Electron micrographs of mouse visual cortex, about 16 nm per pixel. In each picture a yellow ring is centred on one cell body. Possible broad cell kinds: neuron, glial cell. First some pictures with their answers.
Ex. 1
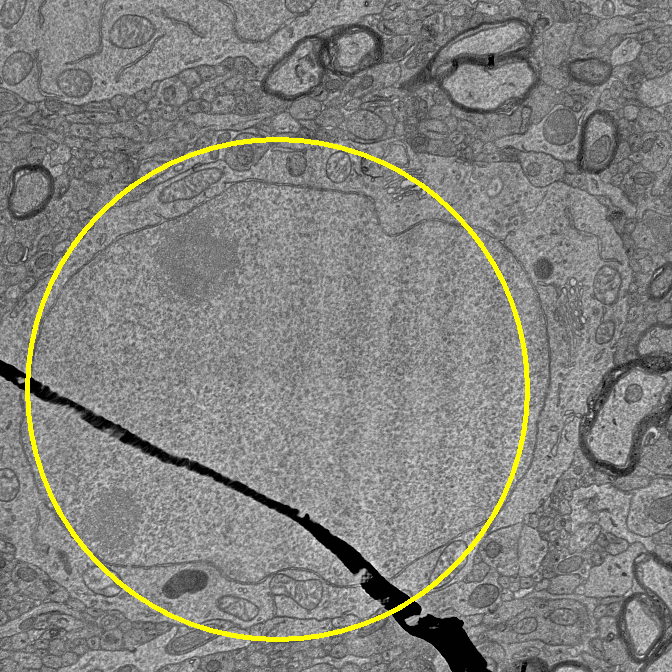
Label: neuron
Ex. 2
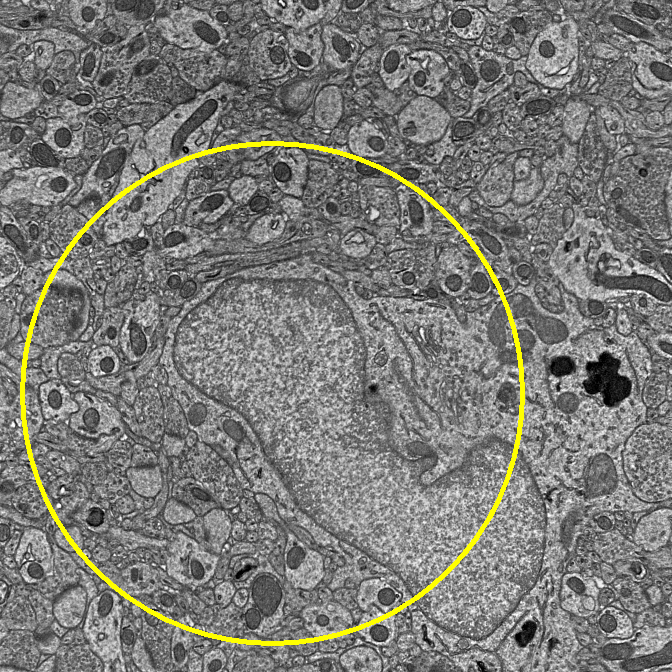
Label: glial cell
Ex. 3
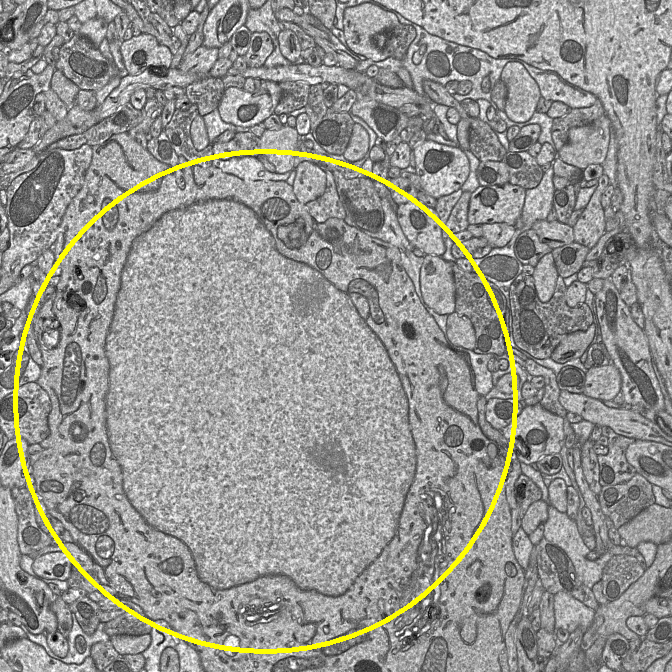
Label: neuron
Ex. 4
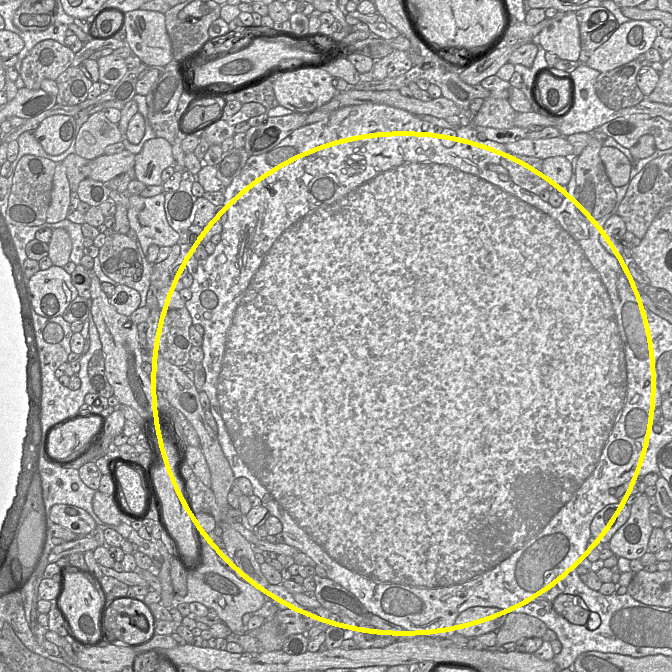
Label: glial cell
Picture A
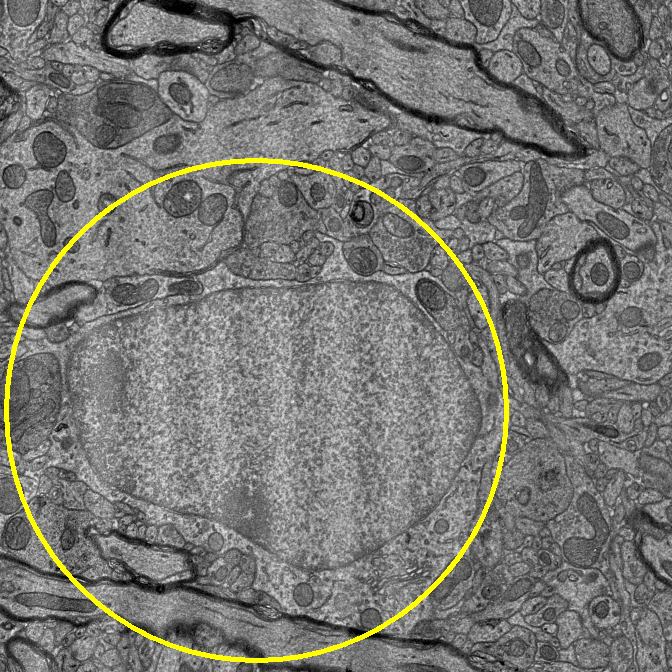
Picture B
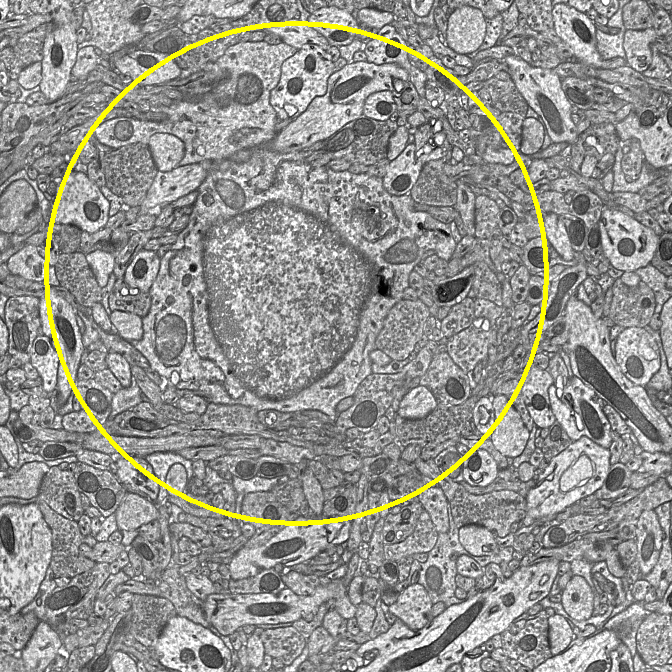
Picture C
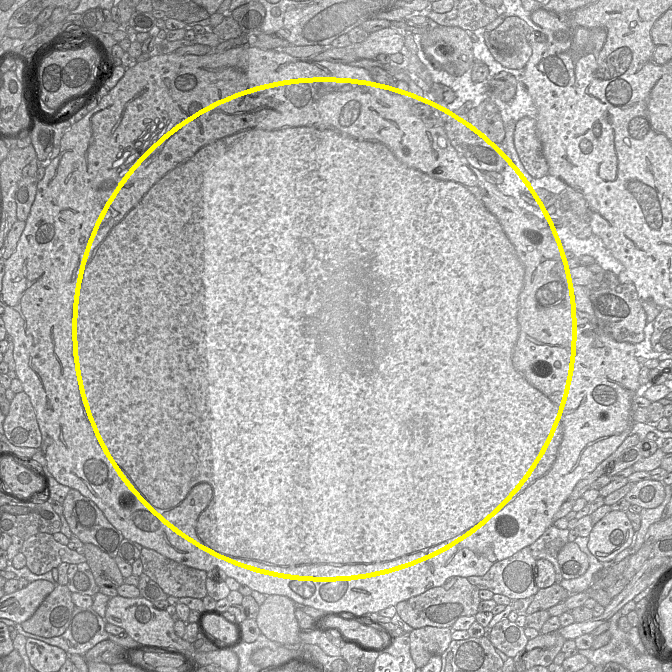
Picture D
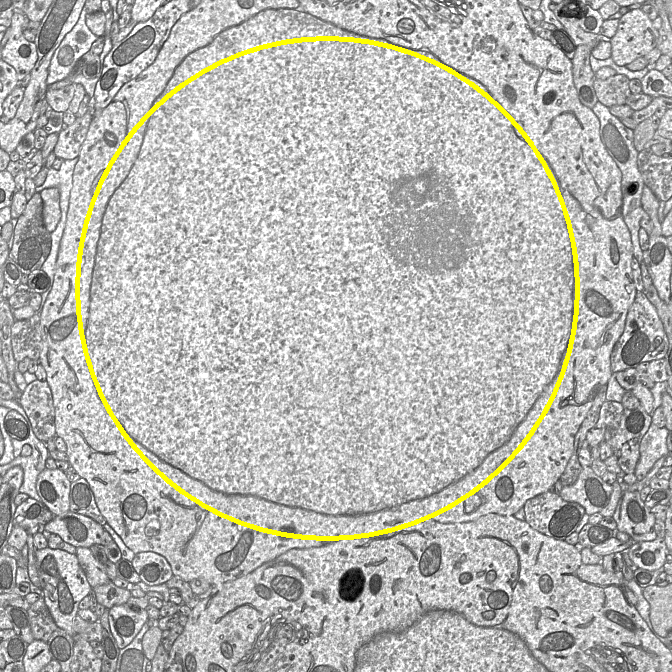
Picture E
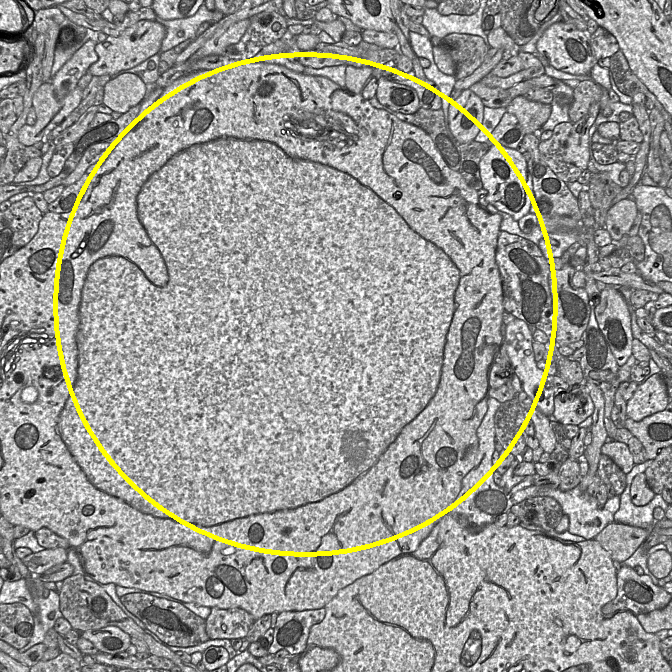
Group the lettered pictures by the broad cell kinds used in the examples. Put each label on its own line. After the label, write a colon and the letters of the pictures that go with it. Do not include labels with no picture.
neuron: C, D, E
glial cell: A, B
